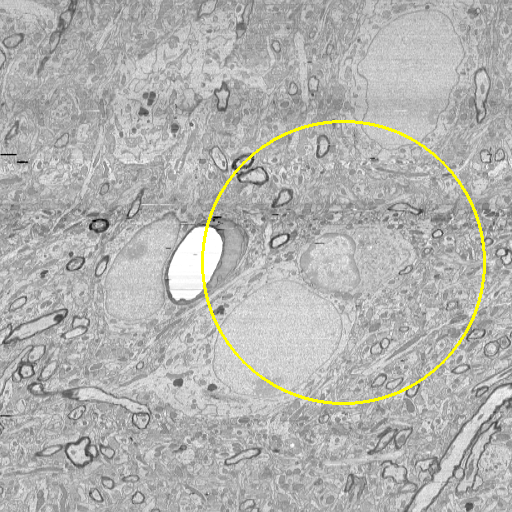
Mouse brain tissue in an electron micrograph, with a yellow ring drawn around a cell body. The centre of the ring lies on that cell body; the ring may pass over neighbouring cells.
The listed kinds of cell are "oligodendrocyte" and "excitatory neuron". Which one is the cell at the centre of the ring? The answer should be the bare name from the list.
oligodendrocyte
